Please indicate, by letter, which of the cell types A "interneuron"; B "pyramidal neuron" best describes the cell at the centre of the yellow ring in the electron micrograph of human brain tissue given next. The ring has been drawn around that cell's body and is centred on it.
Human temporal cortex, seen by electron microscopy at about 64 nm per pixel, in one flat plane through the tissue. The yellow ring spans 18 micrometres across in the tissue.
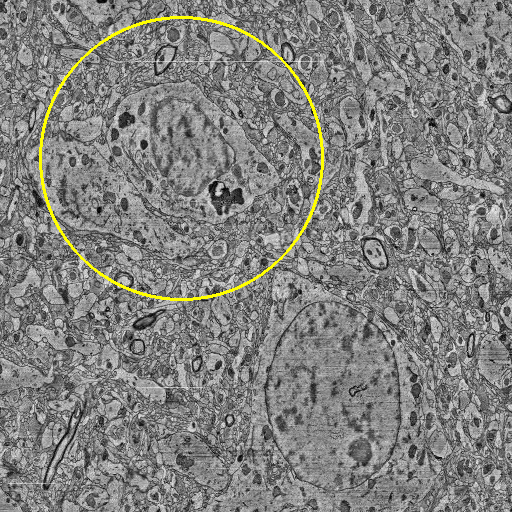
A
